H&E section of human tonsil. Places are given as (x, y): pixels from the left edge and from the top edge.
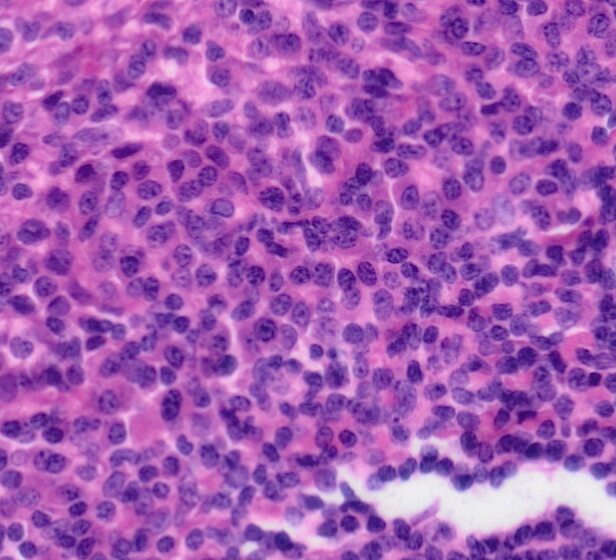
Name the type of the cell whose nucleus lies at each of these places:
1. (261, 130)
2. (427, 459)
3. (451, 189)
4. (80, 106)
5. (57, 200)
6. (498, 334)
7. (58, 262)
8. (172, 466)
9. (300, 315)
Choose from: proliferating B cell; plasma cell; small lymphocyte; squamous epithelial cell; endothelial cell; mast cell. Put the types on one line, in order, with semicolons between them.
squamous epithelial cell; small lymphocyte; plasma cell; plasma cell; squamous epithelial cell; small lymphocyte; squamous epithelial cell; plasma cell; plasma cell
